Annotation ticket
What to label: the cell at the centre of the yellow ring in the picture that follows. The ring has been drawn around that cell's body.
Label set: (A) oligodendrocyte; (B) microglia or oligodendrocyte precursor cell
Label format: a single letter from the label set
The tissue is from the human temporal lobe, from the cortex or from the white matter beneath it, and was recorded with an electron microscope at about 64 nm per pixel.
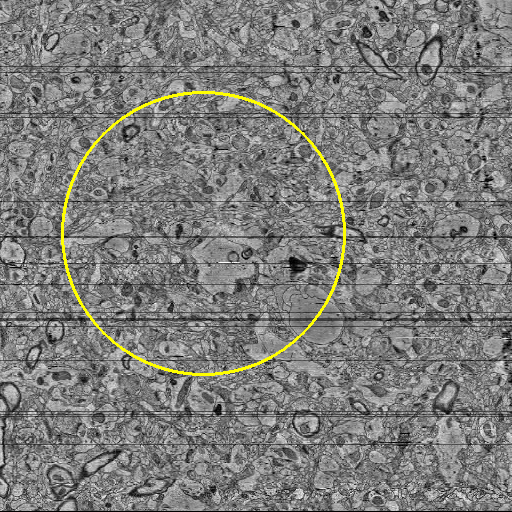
B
